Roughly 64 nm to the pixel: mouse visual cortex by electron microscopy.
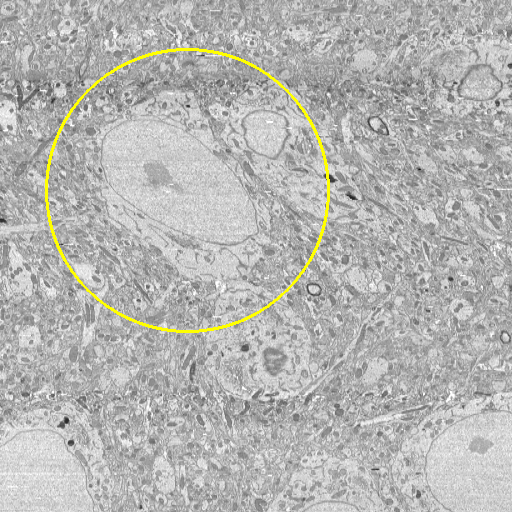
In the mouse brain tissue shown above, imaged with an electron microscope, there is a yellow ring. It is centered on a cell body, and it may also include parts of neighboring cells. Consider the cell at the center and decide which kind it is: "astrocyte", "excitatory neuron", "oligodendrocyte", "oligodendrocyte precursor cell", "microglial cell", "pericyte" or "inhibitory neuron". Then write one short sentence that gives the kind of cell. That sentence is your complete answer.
This centered cell body is that of an excitatory neuron.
